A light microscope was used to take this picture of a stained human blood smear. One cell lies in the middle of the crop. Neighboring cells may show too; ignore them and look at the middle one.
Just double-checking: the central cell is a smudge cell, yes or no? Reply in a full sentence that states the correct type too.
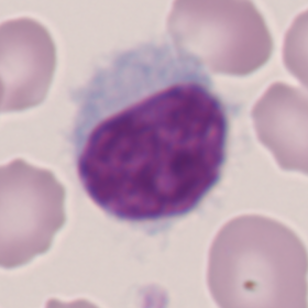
No, the middle of the crop holds a hairy cell, not a smudge cell.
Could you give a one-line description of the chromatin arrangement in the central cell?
In this cell the chromatin is fine rather than coarsely clumped.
